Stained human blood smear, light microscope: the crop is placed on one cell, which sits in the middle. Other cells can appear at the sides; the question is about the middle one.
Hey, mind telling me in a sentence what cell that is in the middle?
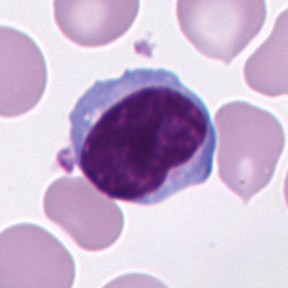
Framed in the middle of the crop is a typical lymphocyte.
